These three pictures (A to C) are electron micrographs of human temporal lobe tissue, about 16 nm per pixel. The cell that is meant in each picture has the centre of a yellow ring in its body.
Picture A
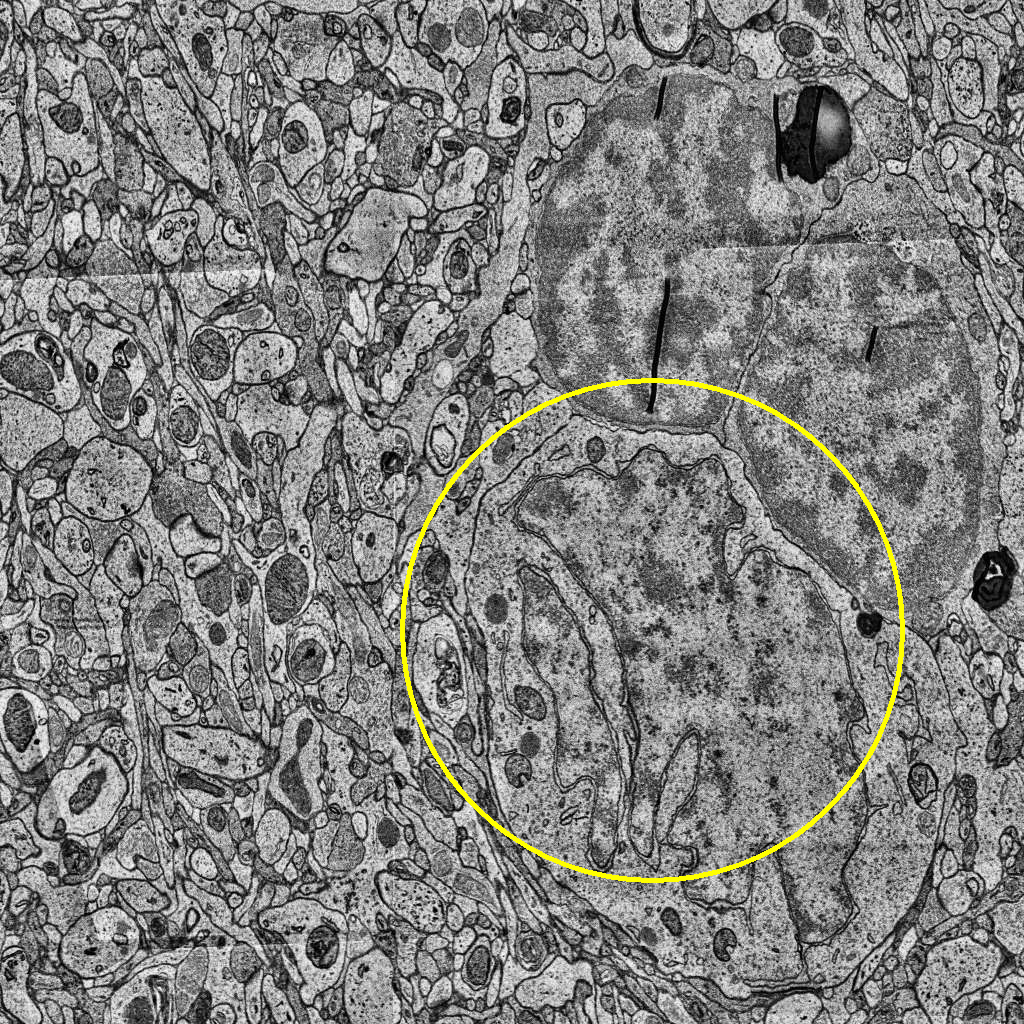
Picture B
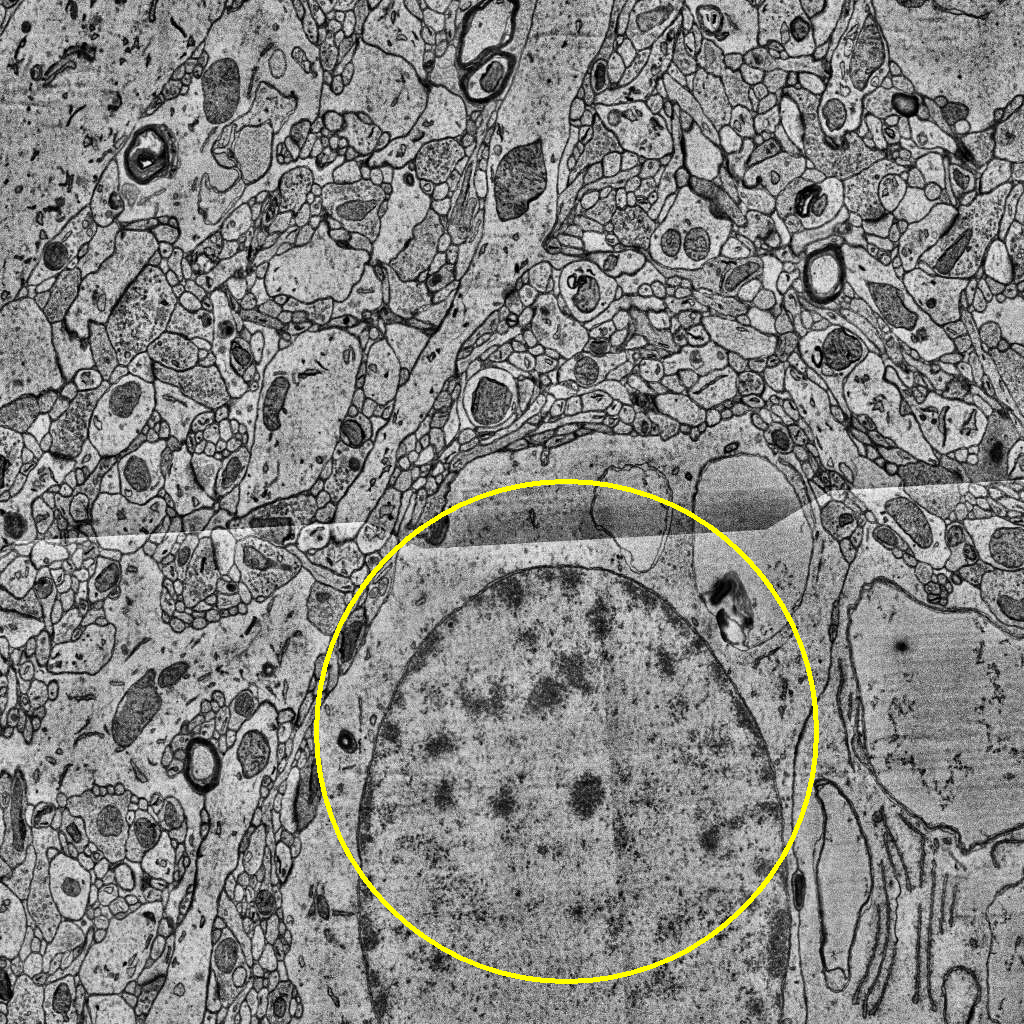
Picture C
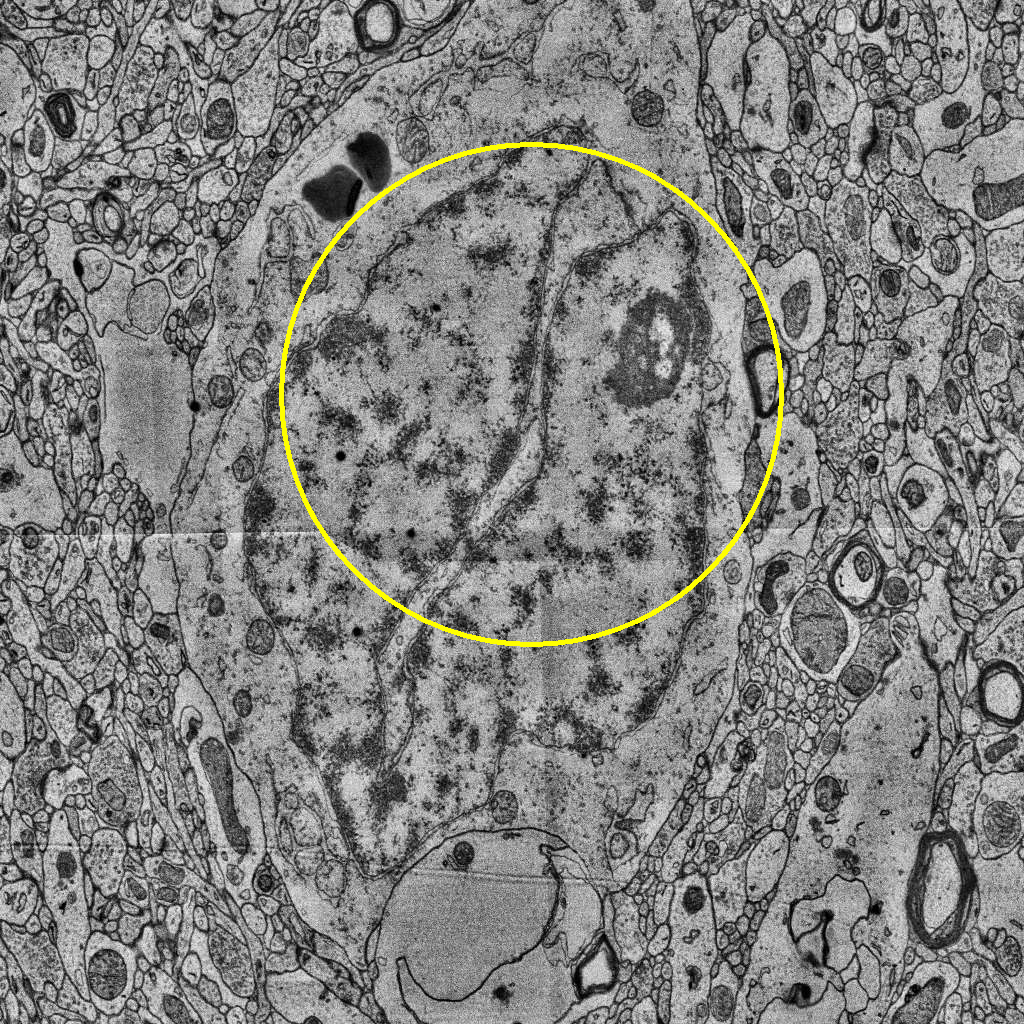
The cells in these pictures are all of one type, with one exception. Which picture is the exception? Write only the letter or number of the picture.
B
